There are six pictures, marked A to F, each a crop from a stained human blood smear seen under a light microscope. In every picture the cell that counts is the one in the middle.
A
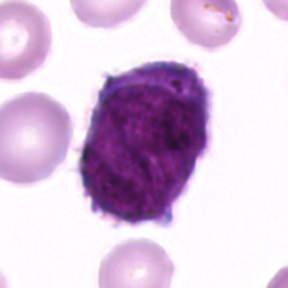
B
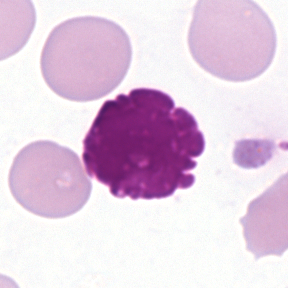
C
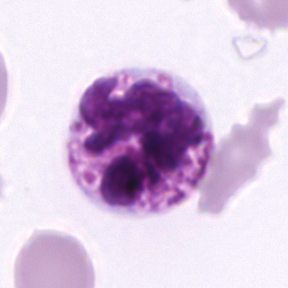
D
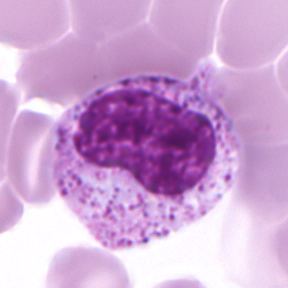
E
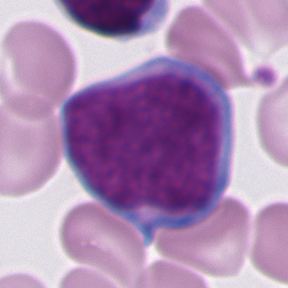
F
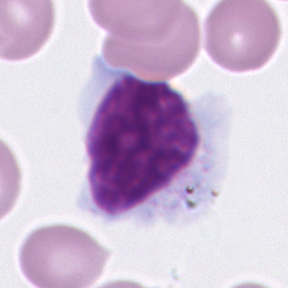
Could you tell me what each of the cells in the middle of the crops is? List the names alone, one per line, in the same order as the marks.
atypical promyelocyte
smudge cell
basophil
metamyelocyte
myeloblast
large granular lymphocyte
